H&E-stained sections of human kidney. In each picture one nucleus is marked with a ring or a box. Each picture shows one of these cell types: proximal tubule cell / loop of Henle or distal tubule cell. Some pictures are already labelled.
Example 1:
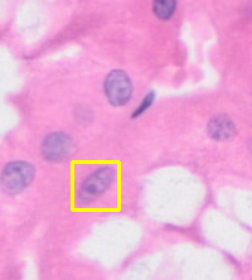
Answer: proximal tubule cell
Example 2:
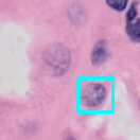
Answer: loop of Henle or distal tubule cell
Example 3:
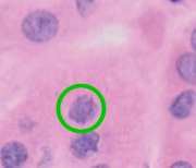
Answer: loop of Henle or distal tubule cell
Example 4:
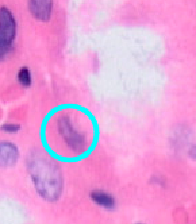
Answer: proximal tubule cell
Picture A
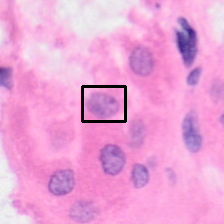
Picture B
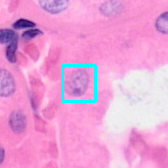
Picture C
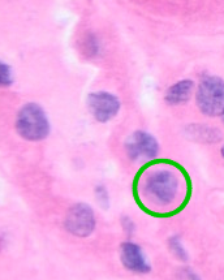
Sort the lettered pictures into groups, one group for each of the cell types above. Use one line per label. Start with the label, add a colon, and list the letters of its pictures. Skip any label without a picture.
proximal tubule cell: A, B
loop of Henle or distal tubule cell: C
